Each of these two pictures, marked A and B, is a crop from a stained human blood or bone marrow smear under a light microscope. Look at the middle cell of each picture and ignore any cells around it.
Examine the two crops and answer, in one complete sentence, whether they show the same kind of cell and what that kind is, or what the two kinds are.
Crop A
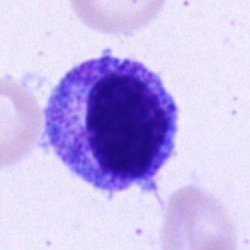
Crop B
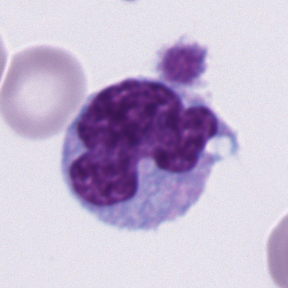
No, crop A is where a myelocyte is, and crop B is where a monocyte is.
